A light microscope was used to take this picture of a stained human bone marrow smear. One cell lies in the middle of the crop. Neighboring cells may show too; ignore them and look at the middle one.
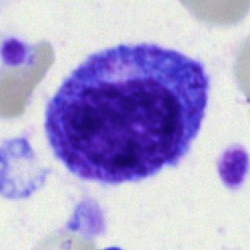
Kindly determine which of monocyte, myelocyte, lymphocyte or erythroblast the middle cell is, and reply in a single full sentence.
The central cell shown in this smear crop is a myelocyte.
